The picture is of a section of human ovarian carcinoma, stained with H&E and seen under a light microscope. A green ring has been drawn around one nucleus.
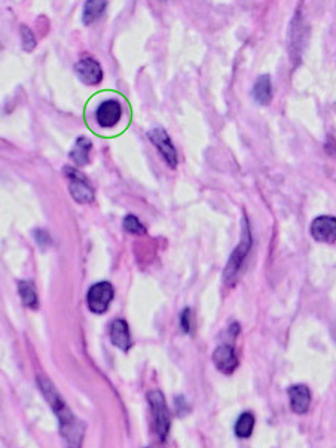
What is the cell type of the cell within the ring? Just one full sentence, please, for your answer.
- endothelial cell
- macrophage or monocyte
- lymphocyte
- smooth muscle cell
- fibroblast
In the stained section, the cell within the ring is a lymphocyte.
